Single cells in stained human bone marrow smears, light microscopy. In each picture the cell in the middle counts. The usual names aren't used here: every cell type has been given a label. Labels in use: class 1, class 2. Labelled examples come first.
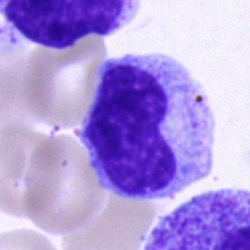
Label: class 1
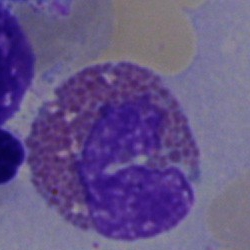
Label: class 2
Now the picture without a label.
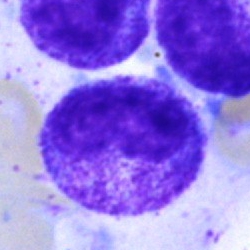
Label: class 1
